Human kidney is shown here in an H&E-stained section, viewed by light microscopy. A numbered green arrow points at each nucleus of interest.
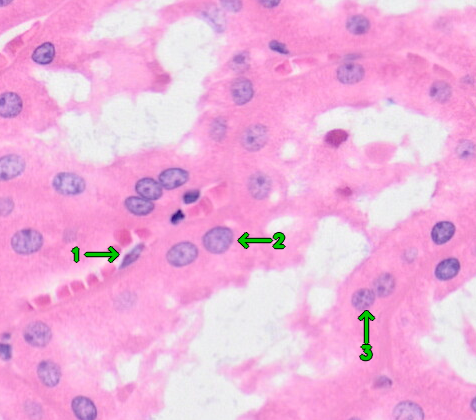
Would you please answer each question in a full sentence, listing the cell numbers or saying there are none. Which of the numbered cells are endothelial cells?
Only number 1 of the marked cells is an endothelial cell.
